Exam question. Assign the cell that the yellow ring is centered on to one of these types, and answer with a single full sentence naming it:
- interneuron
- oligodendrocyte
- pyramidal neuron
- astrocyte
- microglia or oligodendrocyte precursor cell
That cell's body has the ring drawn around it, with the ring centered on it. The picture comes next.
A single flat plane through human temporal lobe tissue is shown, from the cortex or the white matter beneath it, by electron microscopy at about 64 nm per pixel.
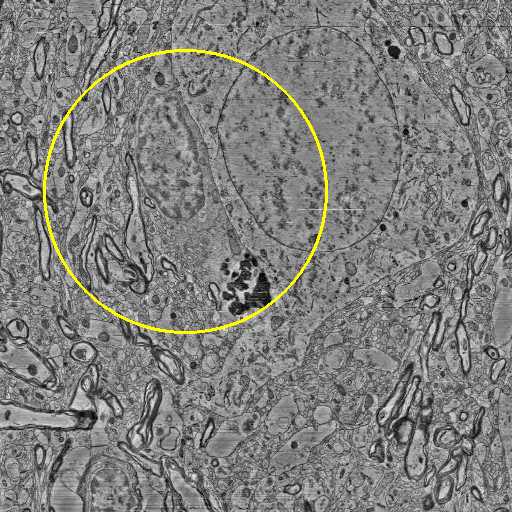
In the micrograph, the cell the yellow ring is centered on is an oligodendrocyte.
